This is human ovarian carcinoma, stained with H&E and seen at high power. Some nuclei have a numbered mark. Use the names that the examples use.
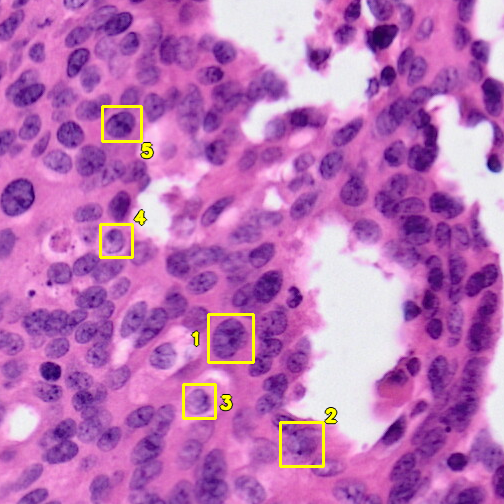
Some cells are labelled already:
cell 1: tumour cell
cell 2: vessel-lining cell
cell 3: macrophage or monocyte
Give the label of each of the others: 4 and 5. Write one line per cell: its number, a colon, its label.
4: macrophage or monocyte
5: tumour cell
